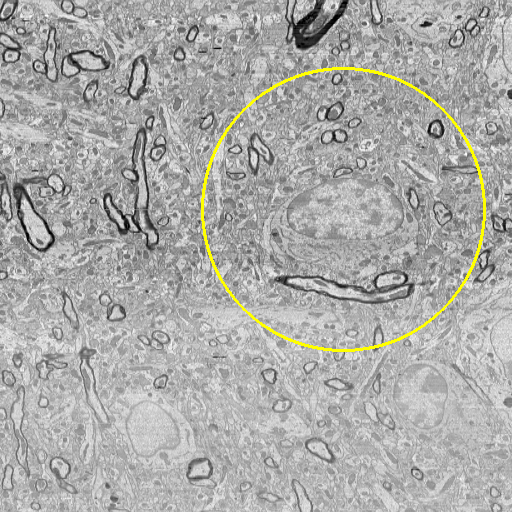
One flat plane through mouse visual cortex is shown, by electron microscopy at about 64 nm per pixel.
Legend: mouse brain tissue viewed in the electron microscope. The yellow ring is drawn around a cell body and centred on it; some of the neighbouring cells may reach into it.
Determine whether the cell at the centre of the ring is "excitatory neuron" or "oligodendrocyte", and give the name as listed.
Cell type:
oligodendrocyte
